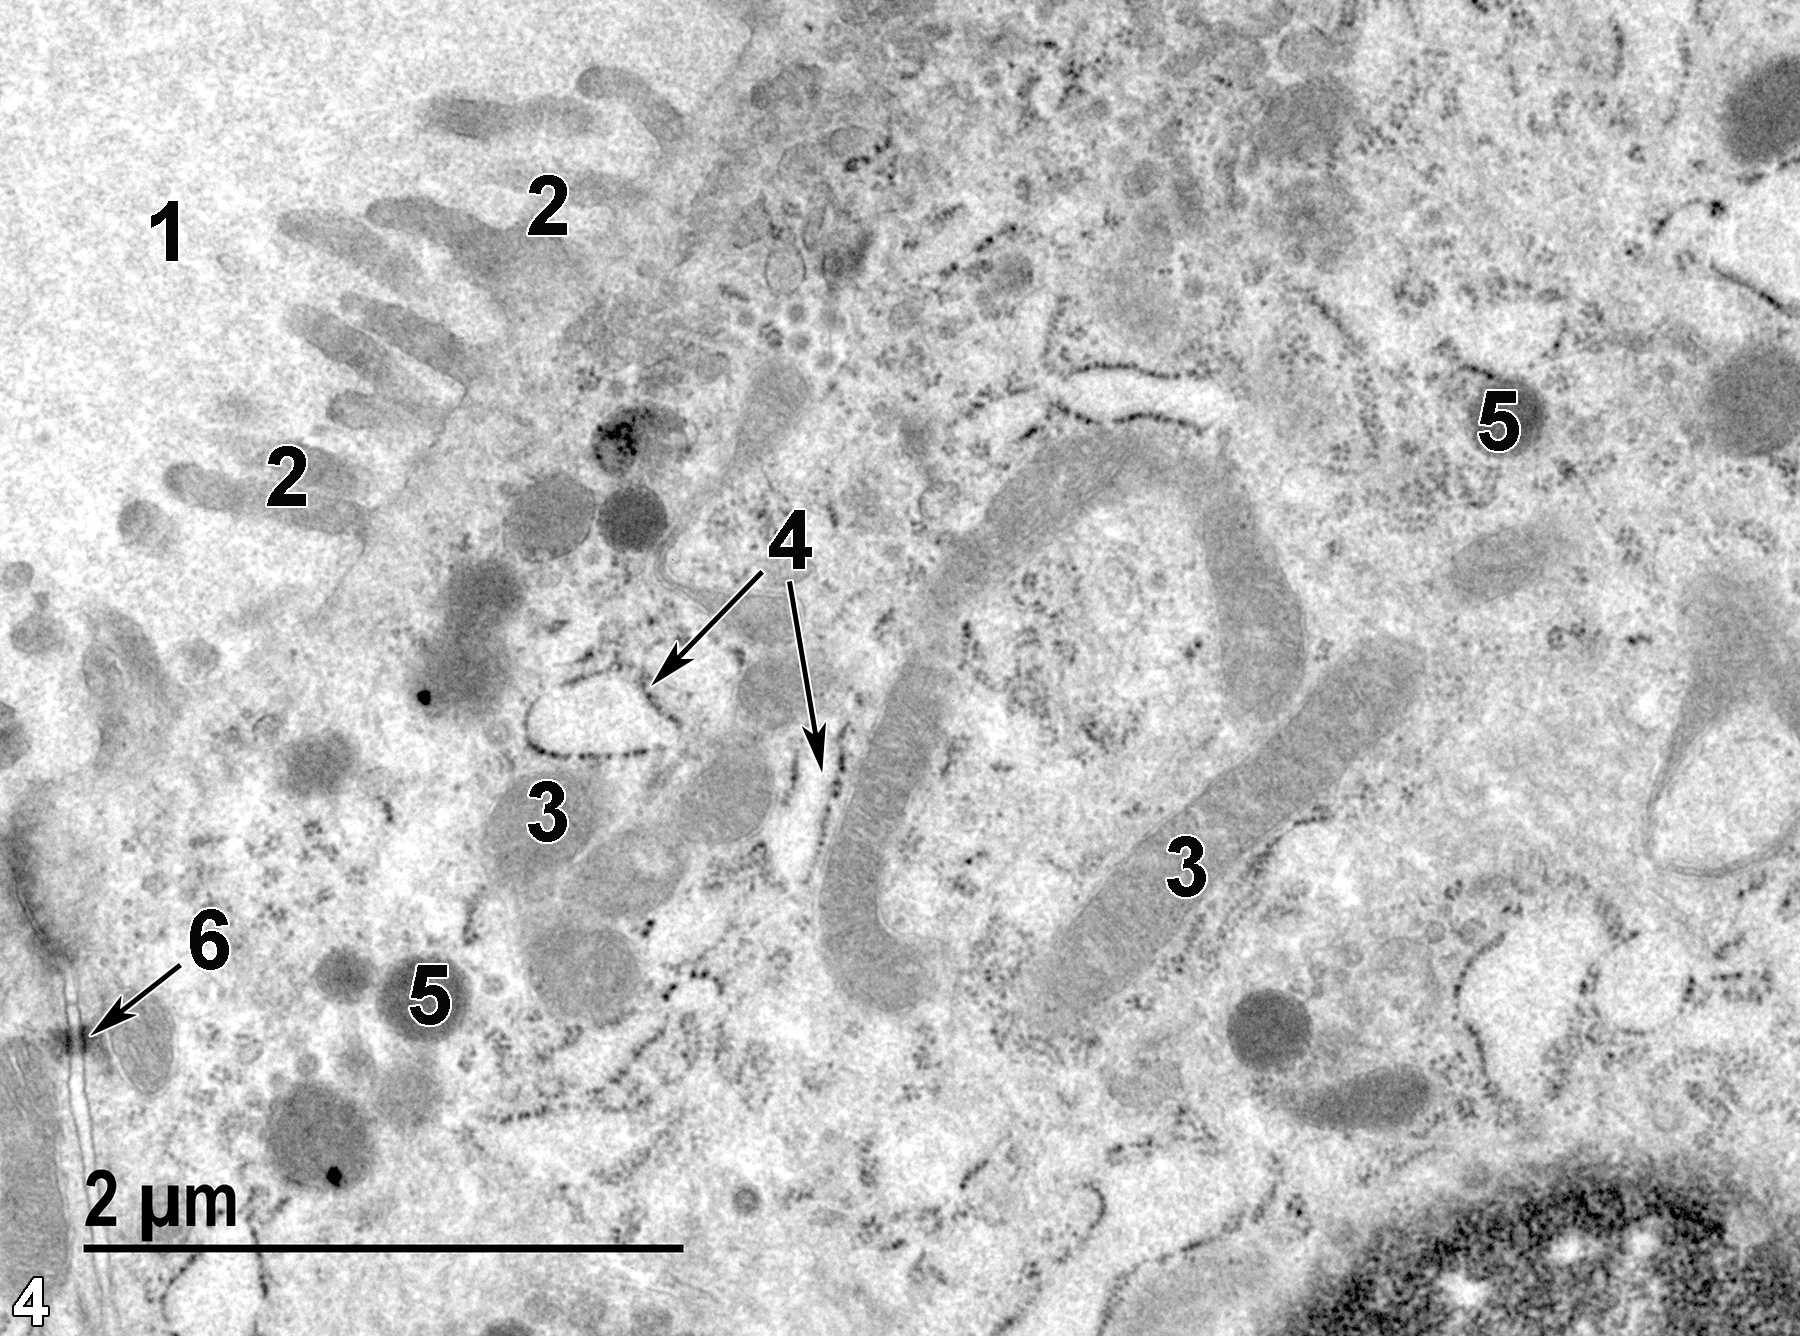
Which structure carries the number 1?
Follicular lumen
